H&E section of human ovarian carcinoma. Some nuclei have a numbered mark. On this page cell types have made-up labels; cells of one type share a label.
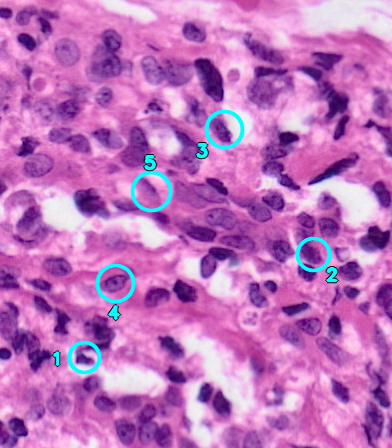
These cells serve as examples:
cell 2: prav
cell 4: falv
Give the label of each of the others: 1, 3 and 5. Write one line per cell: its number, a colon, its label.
1: prav
3: prav
5: falv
